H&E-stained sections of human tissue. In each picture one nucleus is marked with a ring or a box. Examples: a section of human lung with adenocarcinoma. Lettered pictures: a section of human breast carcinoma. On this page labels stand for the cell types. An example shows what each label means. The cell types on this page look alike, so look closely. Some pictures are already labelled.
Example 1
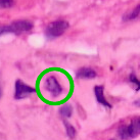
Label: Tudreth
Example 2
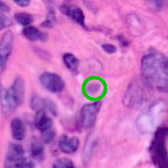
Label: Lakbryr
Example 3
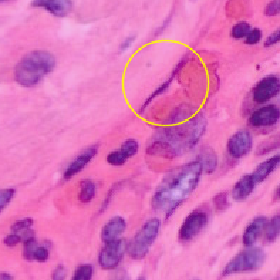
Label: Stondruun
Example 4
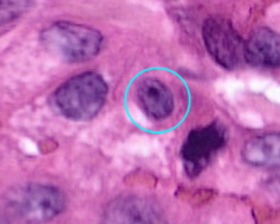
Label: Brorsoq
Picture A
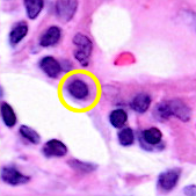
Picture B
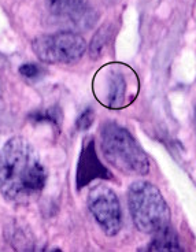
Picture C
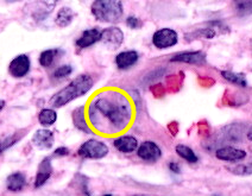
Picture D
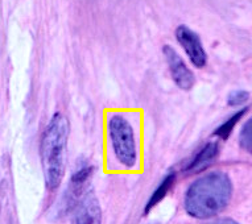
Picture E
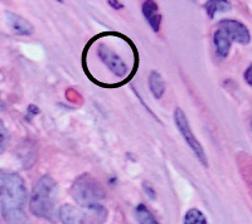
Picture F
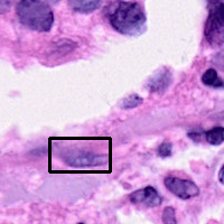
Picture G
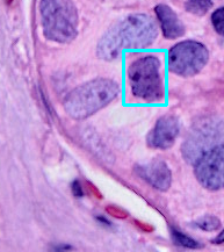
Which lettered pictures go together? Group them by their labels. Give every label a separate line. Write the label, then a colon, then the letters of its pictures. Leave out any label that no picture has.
Tudreth: D, E
Lakbryr: A
Stondruun: B, C, F
Brorsoq: G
